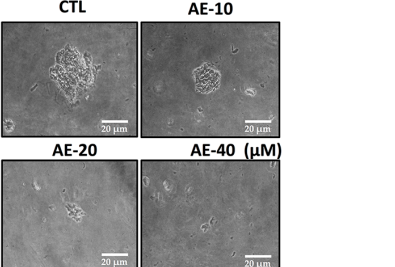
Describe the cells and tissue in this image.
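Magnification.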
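The top-left view shows a large, compact, irregularly rounded cluster of many tightly packed refractile cells. The top-right view shows a smaller rounded cluster with a few loose small cell groups beside it. The two lower views show only small, loose aggregates and scattered debris-like bodies, with no large compact sphere. The background is grey and featureless, with no attached monolayer.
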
